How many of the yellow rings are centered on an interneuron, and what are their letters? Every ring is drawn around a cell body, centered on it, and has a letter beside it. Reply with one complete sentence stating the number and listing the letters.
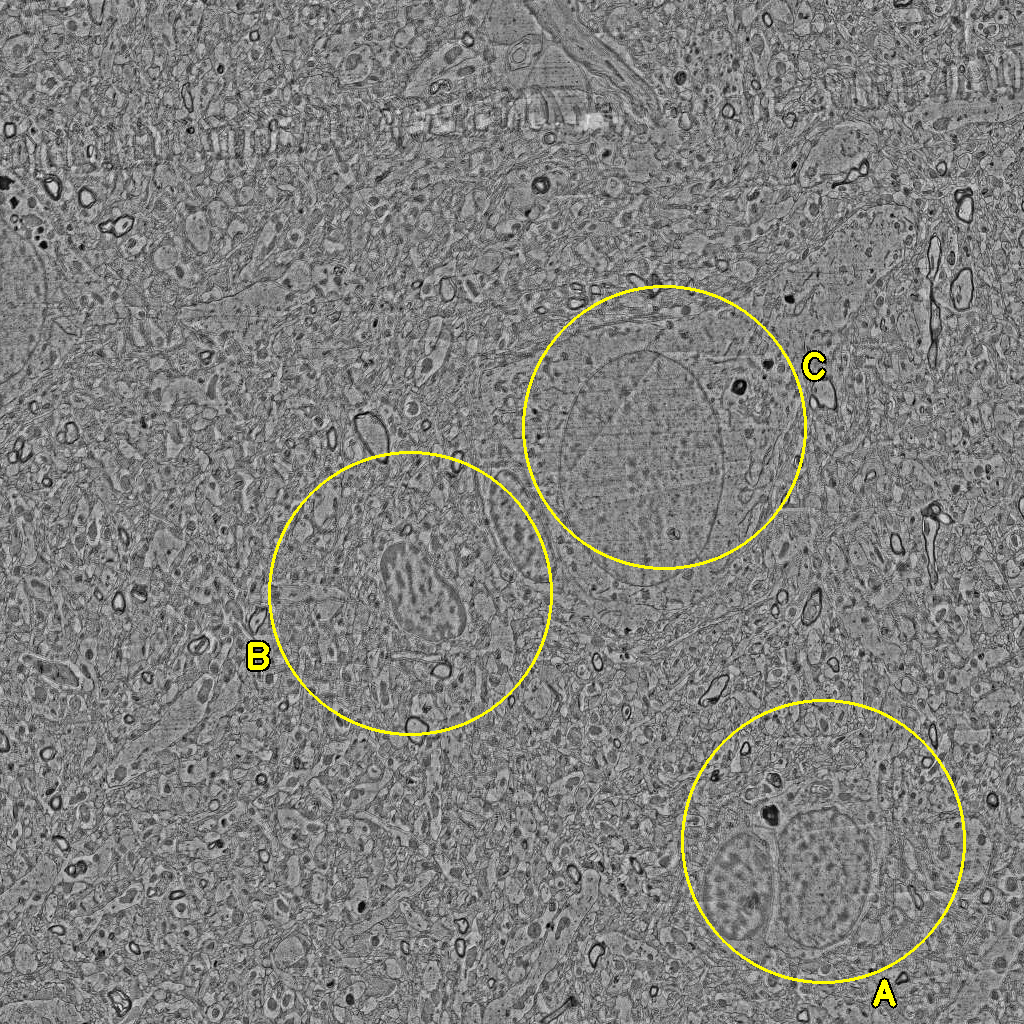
Of the rings in the micrograph, a single one is centred on an interneuron, and it shows A.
